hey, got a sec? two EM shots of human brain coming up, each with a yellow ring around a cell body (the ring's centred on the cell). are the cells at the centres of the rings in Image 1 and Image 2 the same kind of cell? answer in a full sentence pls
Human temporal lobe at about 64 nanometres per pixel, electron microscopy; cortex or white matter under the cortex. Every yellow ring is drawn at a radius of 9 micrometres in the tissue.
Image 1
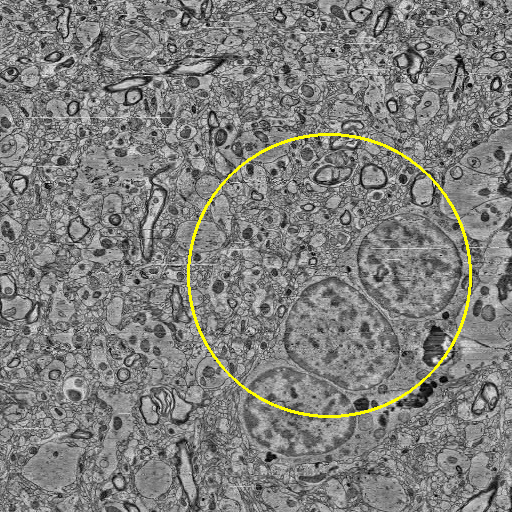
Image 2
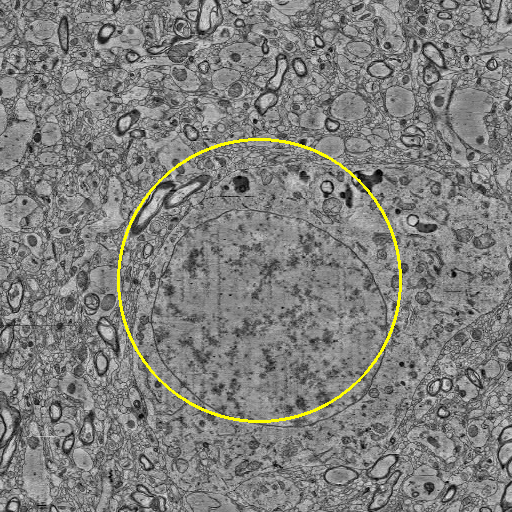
No, they are two kinds of cell.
